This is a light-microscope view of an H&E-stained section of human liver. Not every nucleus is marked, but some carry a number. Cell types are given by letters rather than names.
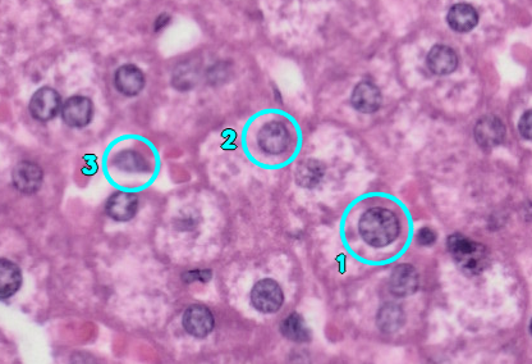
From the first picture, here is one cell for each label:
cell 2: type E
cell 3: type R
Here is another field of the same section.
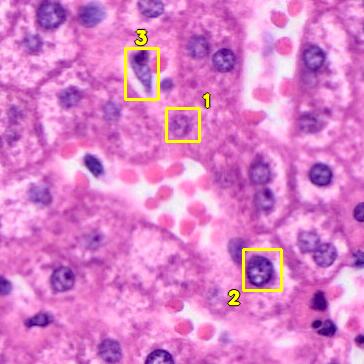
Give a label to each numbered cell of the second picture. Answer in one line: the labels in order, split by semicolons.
type E; type E; type R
